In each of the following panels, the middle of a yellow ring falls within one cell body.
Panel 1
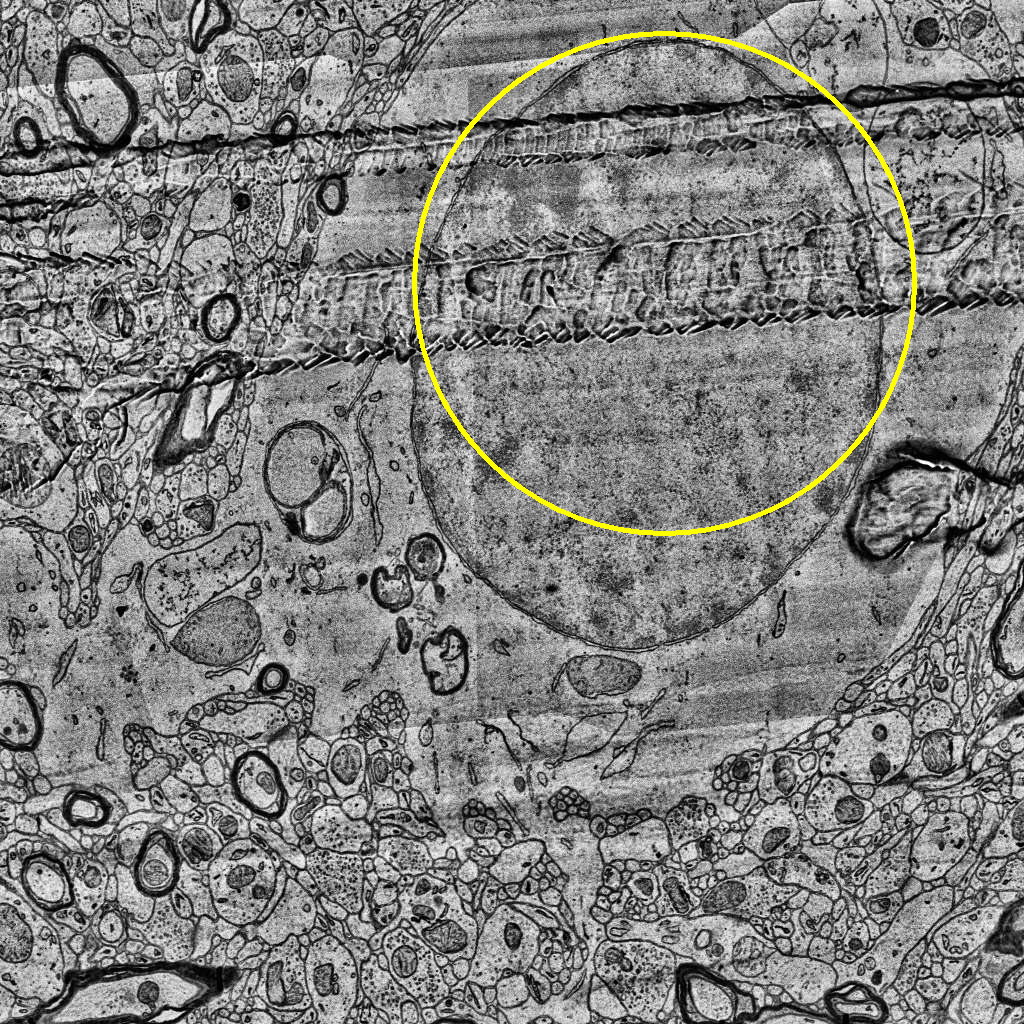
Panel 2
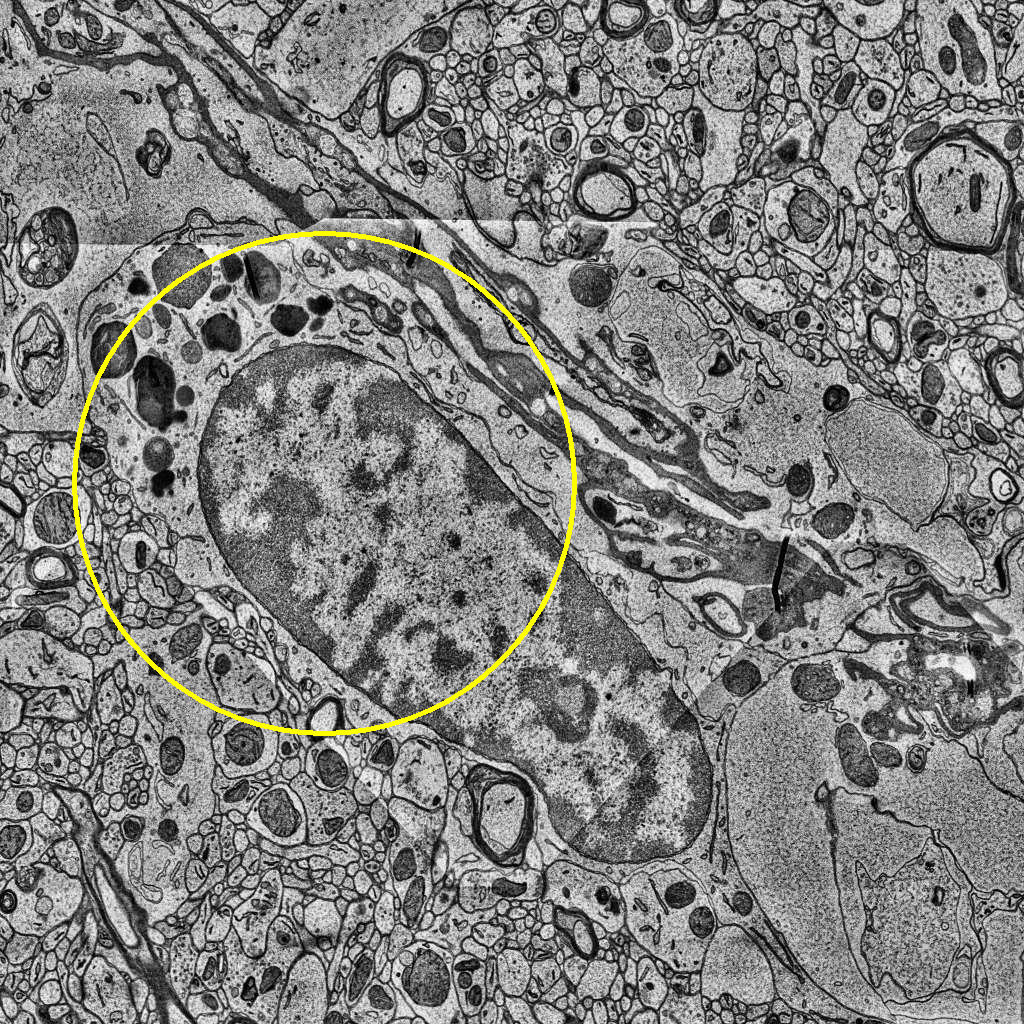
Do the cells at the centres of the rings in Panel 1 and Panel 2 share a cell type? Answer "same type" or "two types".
two types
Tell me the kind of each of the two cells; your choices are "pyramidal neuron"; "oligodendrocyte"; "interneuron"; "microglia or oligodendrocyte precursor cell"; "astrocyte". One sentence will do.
The cell in the first picture is an astrocyte; the second picture's cell is a microglial cell or oligodendrocyte precursor cell.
